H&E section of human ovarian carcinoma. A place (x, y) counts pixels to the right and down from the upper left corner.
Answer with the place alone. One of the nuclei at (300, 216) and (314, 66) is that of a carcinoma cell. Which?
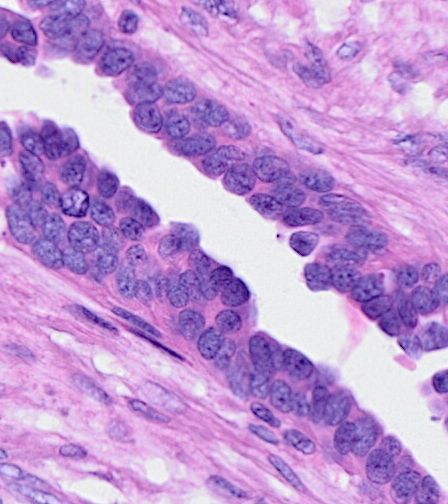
(300, 216)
